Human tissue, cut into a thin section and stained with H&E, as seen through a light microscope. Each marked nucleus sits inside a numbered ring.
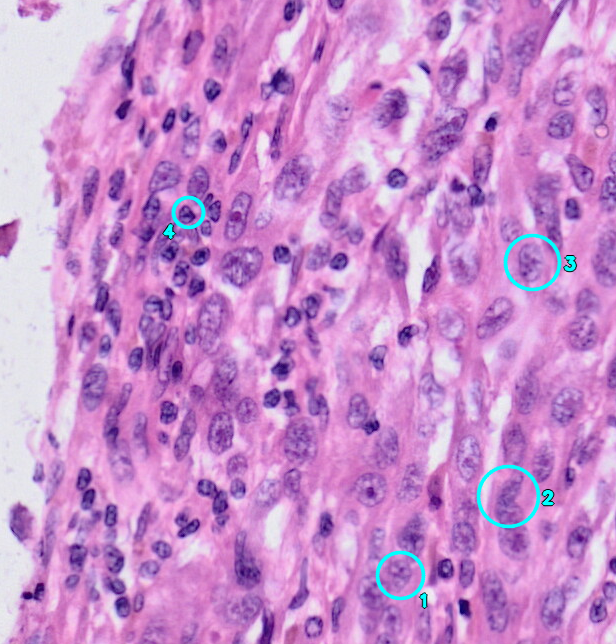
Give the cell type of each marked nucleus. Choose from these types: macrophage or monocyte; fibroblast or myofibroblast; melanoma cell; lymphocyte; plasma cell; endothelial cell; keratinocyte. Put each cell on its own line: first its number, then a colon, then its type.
1: melanoma cell
2: melanoma cell
3: melanoma cell
4: lymphocyte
